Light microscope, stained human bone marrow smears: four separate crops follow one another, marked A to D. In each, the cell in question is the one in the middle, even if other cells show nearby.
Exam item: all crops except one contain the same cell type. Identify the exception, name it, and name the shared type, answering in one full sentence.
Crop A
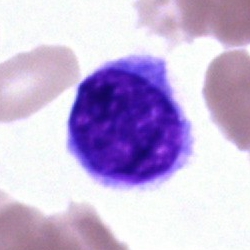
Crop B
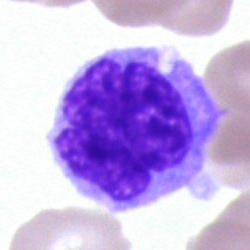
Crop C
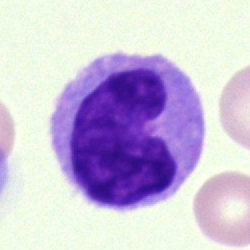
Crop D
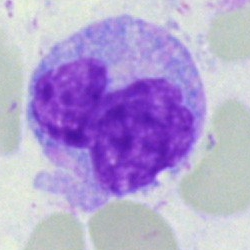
In contrast to the other crops, all of which show monocytes, crop A shows a hairy cell.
